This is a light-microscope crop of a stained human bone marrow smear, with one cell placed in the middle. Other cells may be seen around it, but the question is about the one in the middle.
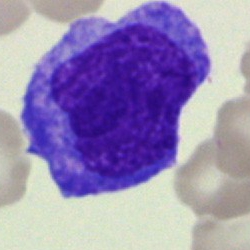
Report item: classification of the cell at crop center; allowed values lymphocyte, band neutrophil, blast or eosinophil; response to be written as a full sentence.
In short, the cell at the center is a blast.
